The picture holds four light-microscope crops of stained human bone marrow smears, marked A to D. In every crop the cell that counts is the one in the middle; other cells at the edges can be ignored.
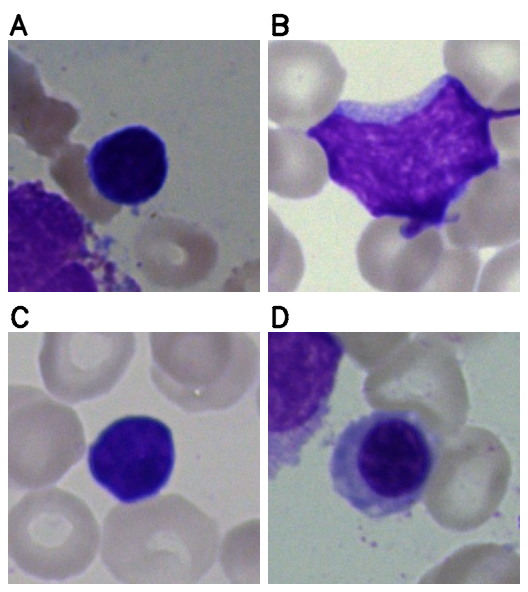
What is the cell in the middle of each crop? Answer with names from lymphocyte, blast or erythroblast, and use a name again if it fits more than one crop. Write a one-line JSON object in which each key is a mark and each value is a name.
{"A": "lymphocyte", "B": "blast", "C": "lymphocyte", "D": "erythroblast"}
